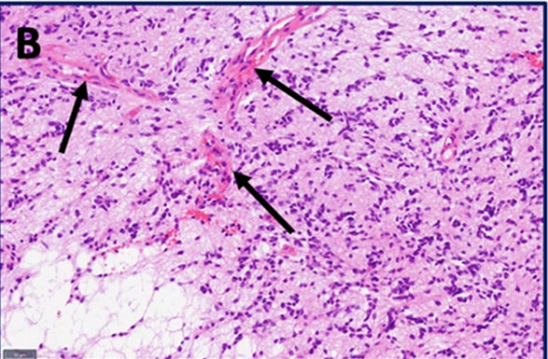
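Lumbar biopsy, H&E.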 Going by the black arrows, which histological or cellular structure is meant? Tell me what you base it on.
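Vascular proliferates. The arrows point to elongated, pink, vessel-like strands crossing the tumor. These strands are lined by flattened nuclei.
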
